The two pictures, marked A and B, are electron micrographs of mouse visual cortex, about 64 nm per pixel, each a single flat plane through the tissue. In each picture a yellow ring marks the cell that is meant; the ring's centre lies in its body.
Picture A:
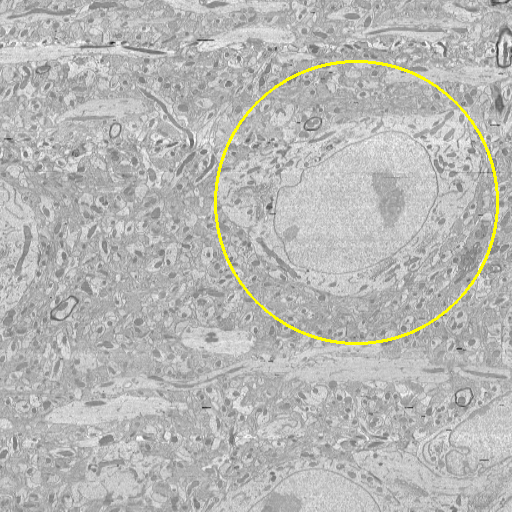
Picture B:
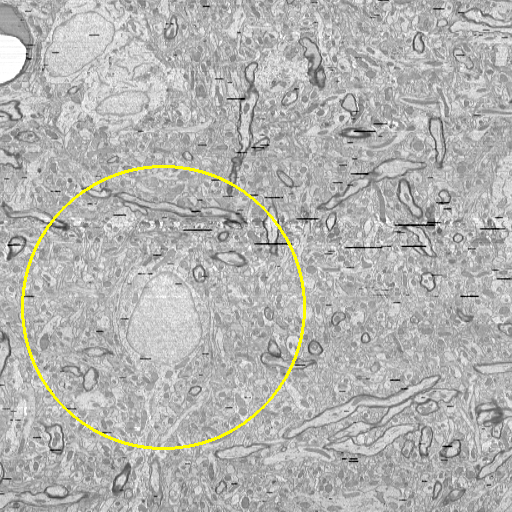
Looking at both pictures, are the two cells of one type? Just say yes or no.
no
